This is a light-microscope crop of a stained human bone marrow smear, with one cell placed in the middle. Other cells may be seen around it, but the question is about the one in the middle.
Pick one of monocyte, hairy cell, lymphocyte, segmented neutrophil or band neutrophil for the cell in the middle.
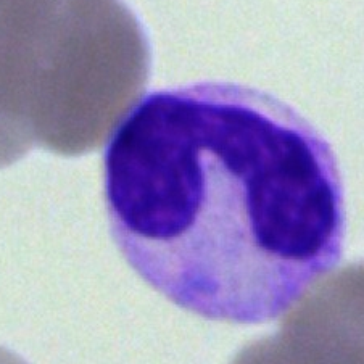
band neutrophil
